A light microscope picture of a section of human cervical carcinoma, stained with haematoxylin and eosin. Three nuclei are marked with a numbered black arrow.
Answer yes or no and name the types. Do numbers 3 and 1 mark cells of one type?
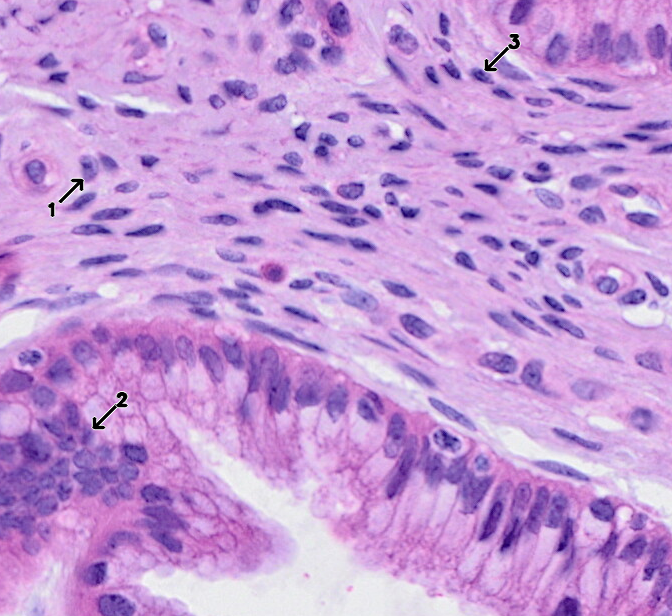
Yes, cell 3 and likewise cell 1 are fibroblasts.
